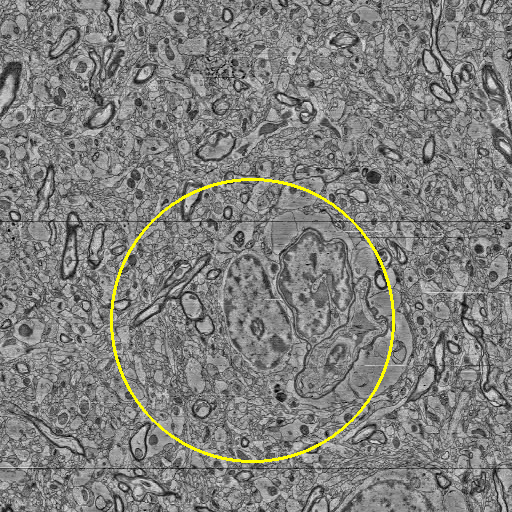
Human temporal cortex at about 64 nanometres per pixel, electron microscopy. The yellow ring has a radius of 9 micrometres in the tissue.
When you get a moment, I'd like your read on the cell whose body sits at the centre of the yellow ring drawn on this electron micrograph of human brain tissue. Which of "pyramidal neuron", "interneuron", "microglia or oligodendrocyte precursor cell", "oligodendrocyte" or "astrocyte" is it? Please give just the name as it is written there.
microglia or oligodendrocyte precursor cell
